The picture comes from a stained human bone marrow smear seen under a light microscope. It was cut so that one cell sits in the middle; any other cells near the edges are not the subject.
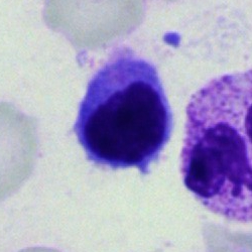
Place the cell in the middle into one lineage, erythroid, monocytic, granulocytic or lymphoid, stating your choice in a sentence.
The cell occupying the middle of the crop is classified within the erythroid lineage.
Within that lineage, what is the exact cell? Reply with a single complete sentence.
This particular crop is centered on an erythroblast.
